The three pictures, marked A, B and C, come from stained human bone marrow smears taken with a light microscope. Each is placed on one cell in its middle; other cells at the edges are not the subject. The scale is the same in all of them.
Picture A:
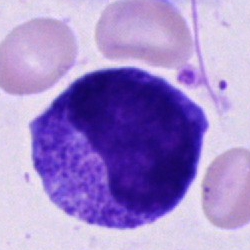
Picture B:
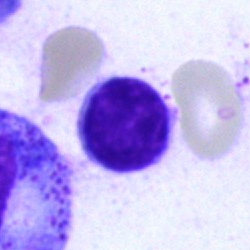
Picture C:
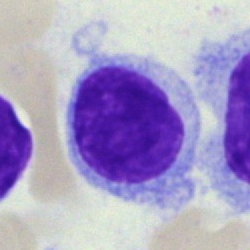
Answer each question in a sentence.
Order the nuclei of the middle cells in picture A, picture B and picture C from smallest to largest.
The order is B, C, A, beginning with the smallest.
